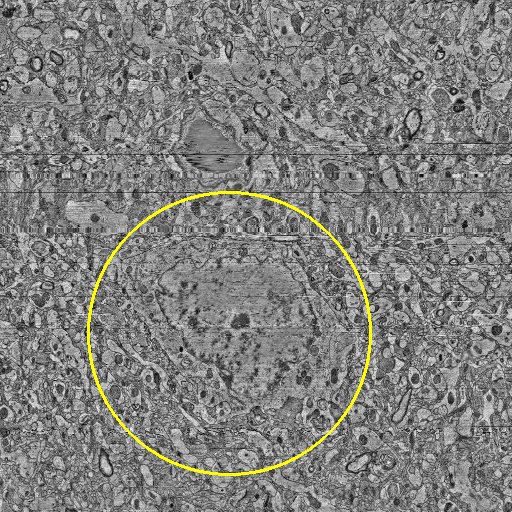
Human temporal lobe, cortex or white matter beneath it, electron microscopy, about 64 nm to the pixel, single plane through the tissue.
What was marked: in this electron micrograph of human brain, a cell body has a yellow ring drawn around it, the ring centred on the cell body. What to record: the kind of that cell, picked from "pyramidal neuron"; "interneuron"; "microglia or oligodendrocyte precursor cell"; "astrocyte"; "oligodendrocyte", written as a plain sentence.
The centred cell is an interneuron.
